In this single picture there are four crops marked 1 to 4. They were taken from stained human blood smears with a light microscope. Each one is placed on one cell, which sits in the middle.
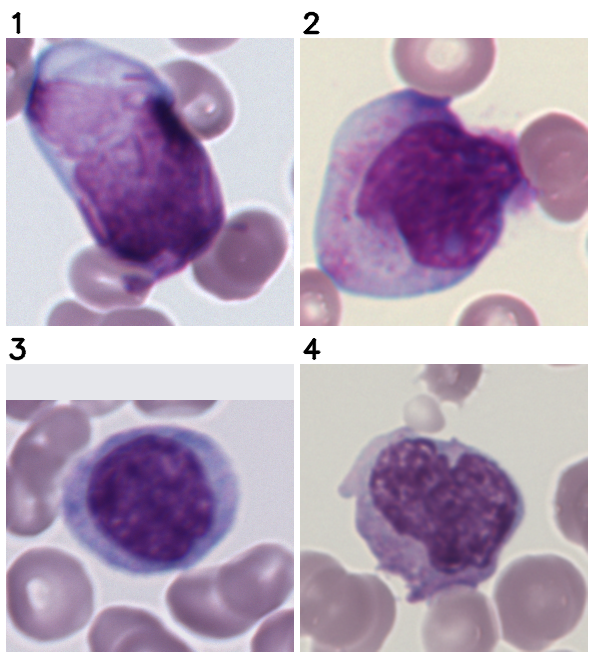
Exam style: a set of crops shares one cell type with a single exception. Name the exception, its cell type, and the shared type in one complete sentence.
The crops all show atypical promyelocytes, with the exception of crop 3, which shows a monocyte.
